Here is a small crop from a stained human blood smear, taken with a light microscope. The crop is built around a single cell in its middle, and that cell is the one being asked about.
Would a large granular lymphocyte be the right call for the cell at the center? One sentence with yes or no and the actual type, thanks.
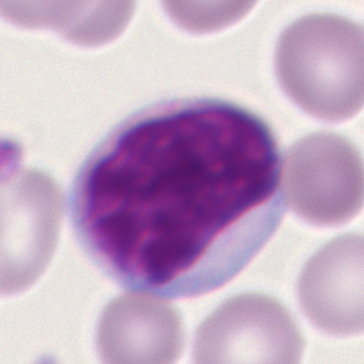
Yes, that is a large granular lymphocyte in the middle of the crop.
